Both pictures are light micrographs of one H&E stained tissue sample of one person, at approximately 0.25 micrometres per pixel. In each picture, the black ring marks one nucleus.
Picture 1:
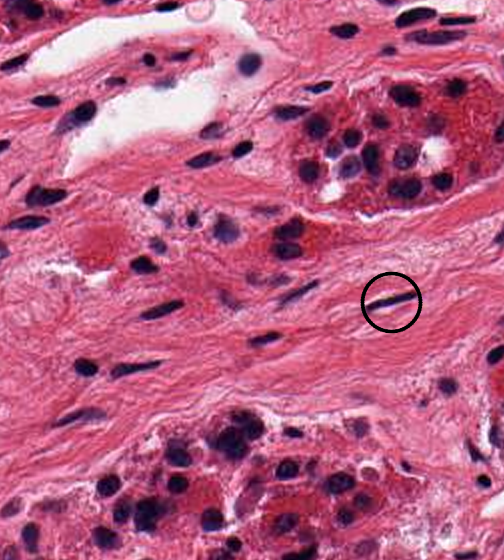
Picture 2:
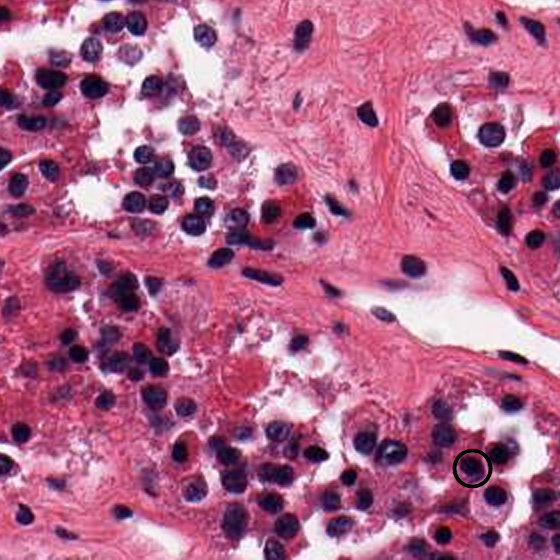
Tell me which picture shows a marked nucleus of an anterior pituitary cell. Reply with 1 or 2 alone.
2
